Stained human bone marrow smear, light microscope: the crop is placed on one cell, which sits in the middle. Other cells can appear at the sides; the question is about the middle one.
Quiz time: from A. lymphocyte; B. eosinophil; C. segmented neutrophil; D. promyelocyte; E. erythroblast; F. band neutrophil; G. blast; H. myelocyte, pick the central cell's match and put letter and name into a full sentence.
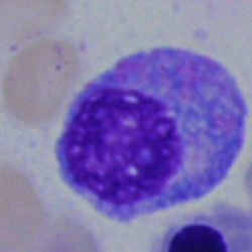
The correct response is option D, naming the cell in the middle as a promyelocyte.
